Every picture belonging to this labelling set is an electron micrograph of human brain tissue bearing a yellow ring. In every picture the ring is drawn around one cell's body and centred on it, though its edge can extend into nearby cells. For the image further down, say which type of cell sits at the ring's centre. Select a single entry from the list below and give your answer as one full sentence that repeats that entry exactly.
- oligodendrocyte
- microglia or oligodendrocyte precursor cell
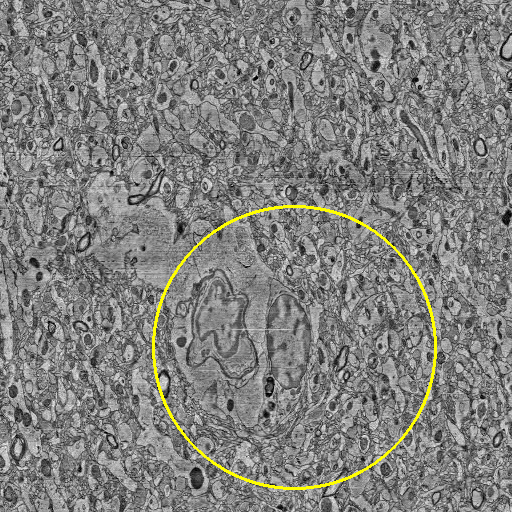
In the picture, a microglial cell or oligodendrocyte precursor cell is the cell at the centre of the yellow ring.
